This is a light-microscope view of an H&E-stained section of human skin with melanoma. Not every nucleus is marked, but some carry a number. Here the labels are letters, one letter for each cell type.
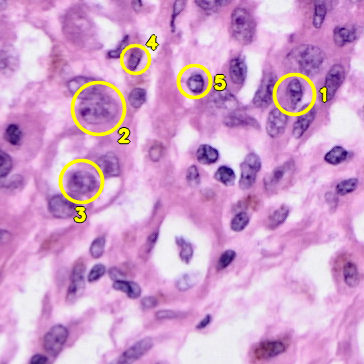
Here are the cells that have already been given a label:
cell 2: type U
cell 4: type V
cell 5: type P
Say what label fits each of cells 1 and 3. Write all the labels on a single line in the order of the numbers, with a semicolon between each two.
type U; type U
